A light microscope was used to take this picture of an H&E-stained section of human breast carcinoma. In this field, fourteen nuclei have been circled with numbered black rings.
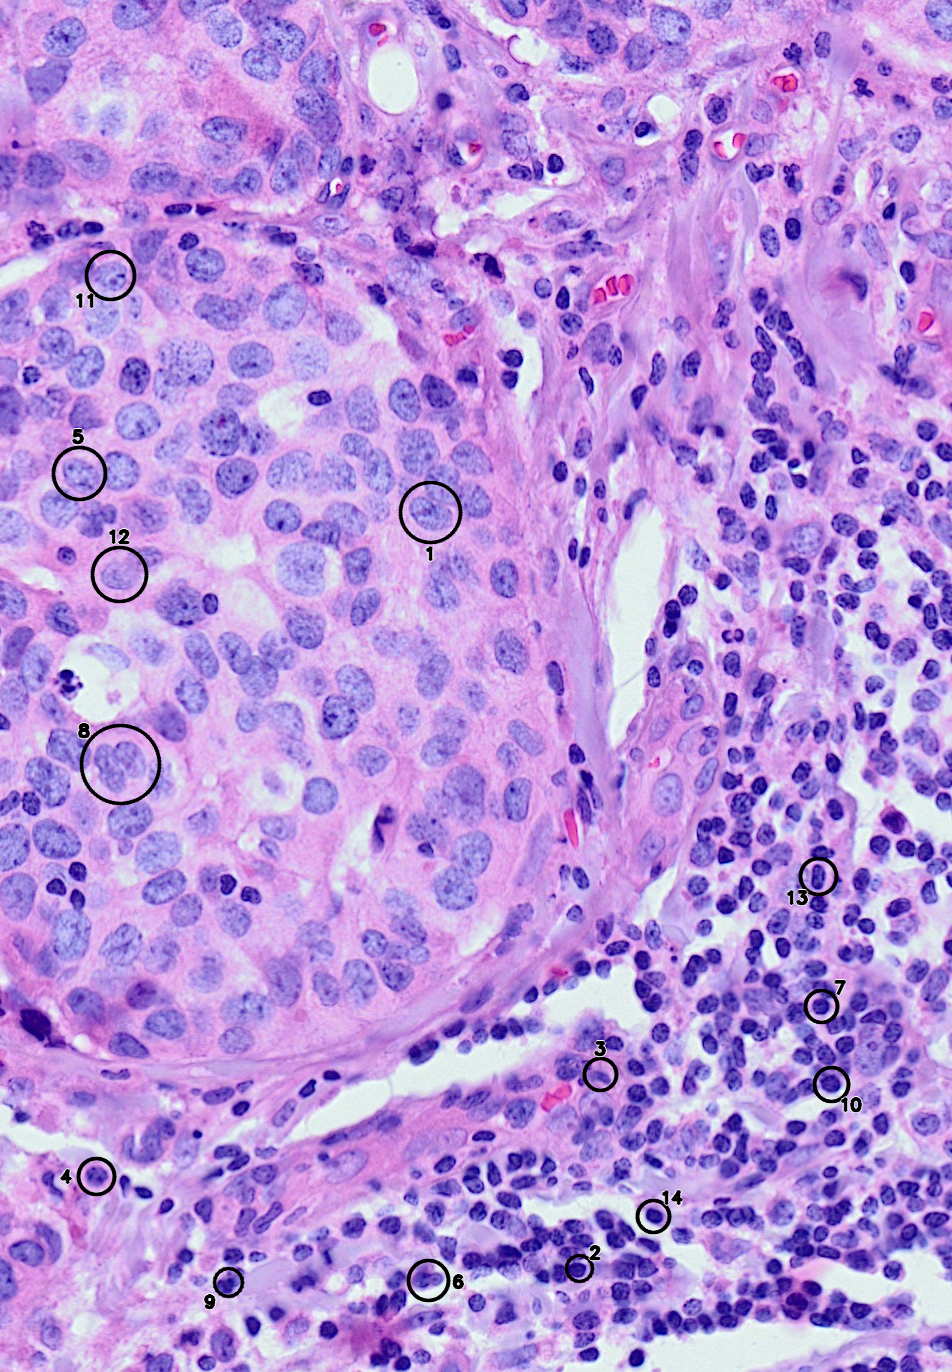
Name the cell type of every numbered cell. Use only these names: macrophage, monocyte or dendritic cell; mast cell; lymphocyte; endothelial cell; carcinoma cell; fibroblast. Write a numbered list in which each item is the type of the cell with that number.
1. carcinoma cell
2. lymphocyte
3. lymphocyte
4. mast cell
5. carcinoma cell
6. lymphocyte
7. lymphocyte
8. carcinoma cell
9. lymphocyte
10. lymphocyte
11. carcinoma cell
12. carcinoma cell
13. lymphocyte
14. lymphocyte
